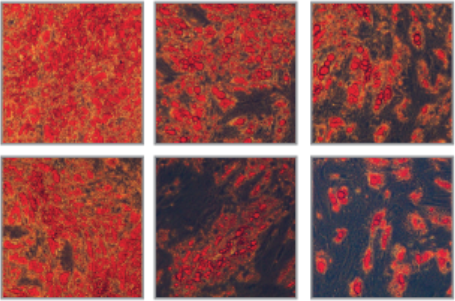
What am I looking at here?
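In some fields nearly every cell is filled with red droplets and the cells lie packed edge to edge. In others the rounded, droplet-filled cells are fewer and lie scattered among flat, spindle-shaped cells that carry little or no red.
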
